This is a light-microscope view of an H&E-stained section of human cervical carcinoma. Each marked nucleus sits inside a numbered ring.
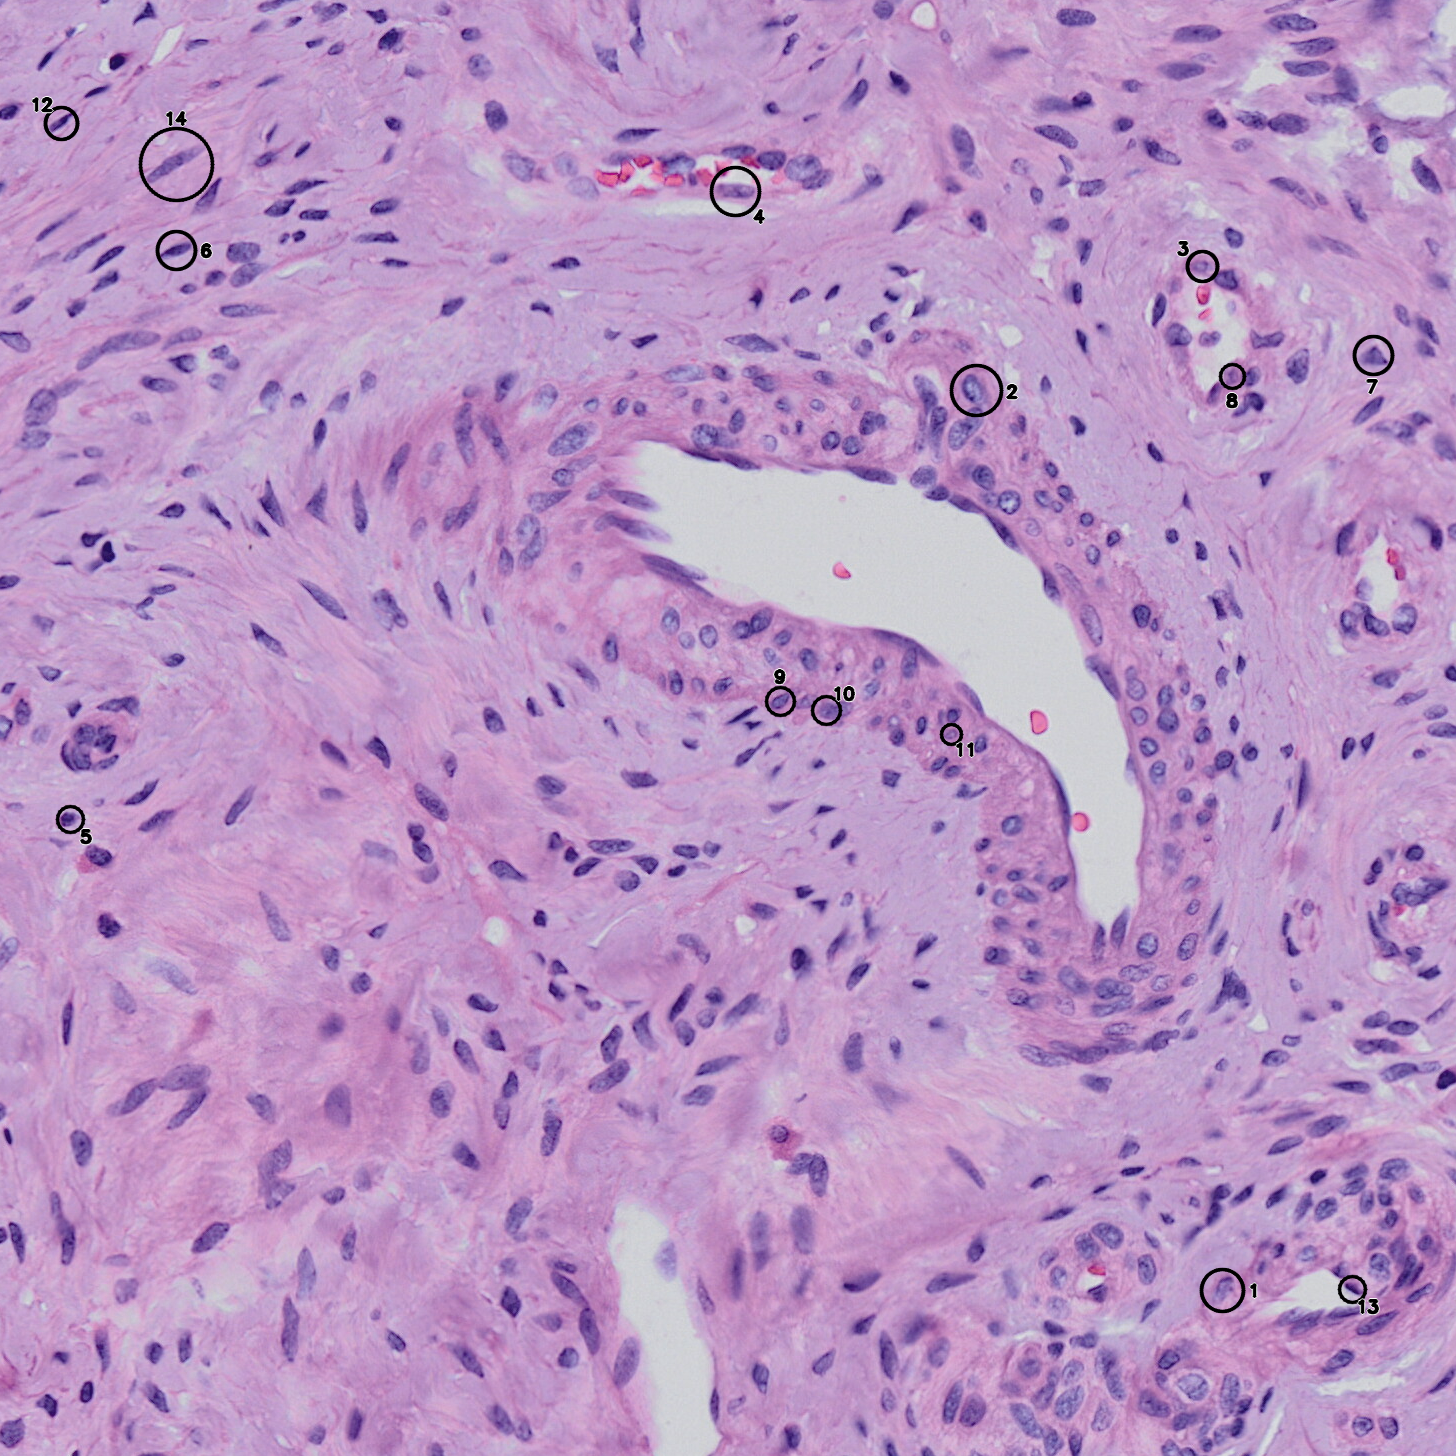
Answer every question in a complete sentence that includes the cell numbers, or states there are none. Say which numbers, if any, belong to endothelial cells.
Marked by the numbers 3, 4, 8 and 13 are cells that are endothelial cells.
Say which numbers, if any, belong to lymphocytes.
Each numbered cell falls outside the category of lymphocytes.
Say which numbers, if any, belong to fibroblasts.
The cells numbered 5, 6, 7, 12 and 14 are typed as fibroblasts.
